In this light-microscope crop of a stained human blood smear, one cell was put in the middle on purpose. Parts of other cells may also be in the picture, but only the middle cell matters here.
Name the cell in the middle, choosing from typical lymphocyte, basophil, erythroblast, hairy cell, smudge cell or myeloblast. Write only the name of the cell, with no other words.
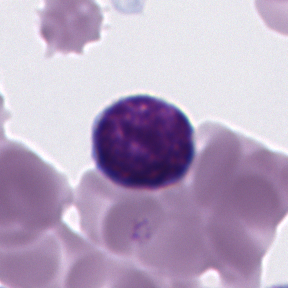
typical lymphocyte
